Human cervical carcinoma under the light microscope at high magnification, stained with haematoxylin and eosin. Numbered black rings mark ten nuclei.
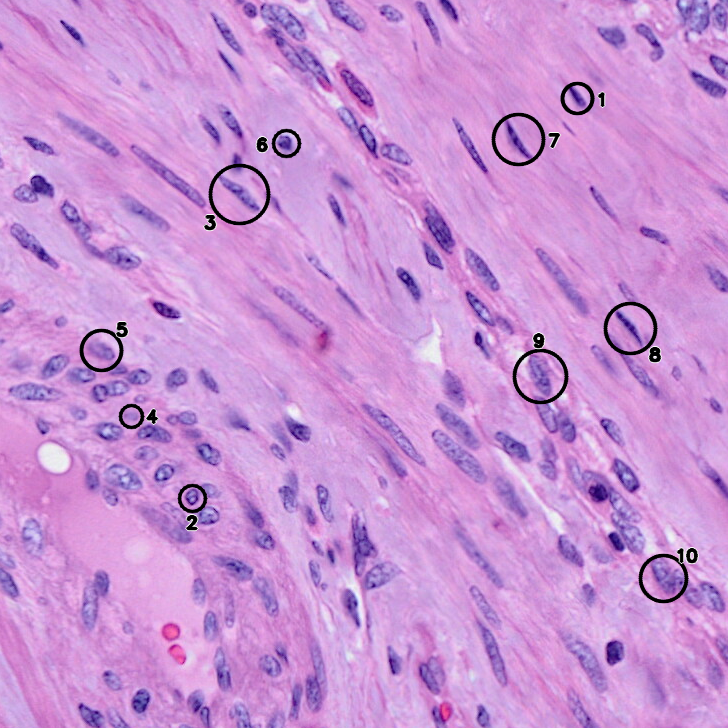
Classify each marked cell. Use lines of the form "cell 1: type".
cell 1: fibroblast
cell 2: smooth muscle cell
cell 3: fibroblast
cell 4: smooth muscle cell
cell 5: smooth muscle cell
cell 6: fibroblast
cell 7: fibroblast
cell 8: fibroblast
cell 9: endothelial cell
cell 10: endothelial cell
